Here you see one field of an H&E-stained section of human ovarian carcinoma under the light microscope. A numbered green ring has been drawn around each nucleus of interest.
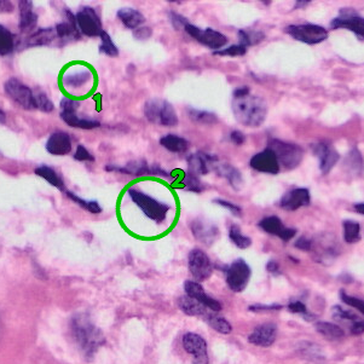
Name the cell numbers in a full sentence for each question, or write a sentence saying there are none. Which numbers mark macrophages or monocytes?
The only cell among those numbered to be a macrophage or monocyte is number 1.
